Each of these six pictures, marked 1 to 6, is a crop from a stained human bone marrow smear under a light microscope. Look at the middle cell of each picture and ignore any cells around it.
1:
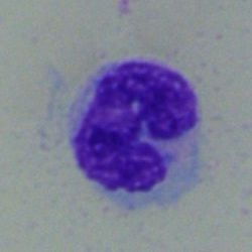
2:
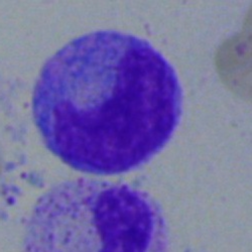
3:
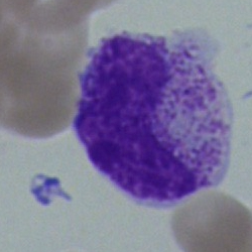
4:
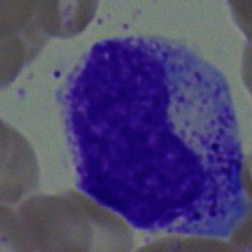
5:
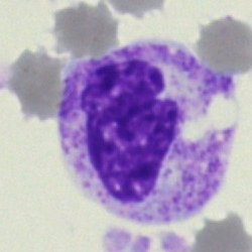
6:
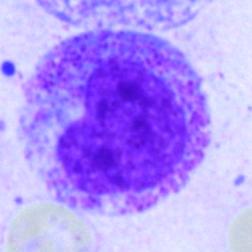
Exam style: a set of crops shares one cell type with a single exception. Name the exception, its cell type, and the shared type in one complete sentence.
Crop 1 is not like the others: it is a monocyte, and they are metamyelocytes.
